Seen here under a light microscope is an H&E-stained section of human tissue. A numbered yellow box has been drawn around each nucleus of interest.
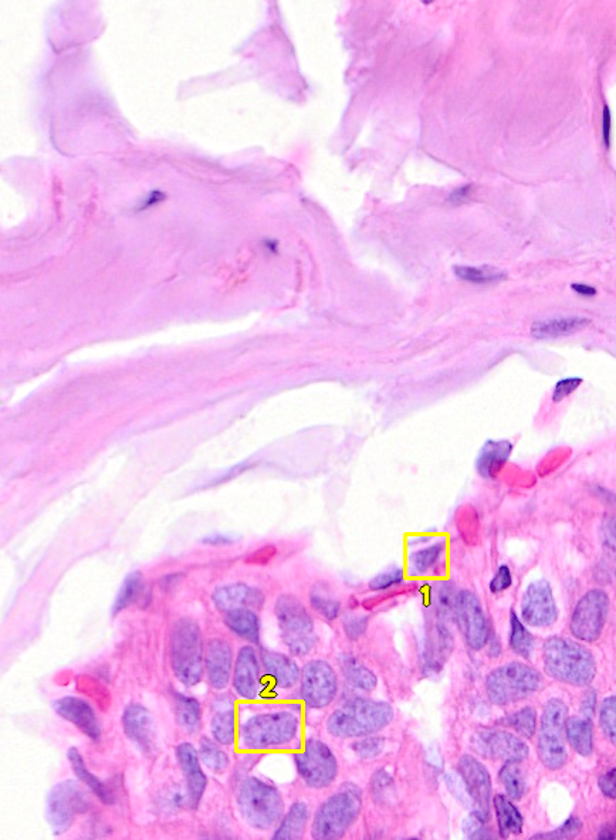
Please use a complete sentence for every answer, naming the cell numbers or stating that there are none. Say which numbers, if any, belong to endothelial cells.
The cell labelled 1 is an endothelial cell, while the remaining numbered cells are not.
